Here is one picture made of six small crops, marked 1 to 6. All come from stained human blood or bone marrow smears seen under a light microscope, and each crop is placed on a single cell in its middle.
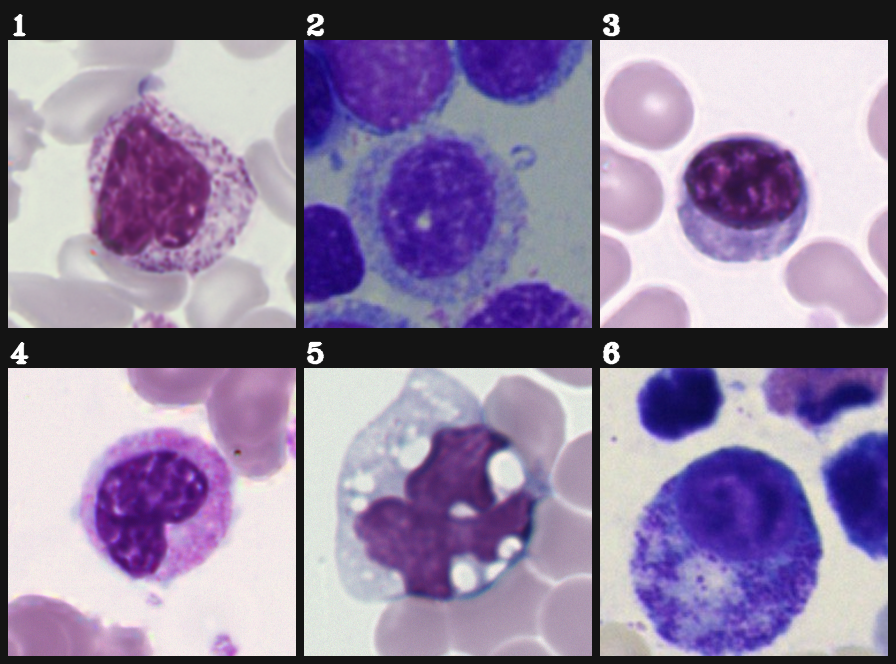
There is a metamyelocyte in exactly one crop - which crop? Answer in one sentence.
It is the cell in crop 4 that is a metamyelocyte.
